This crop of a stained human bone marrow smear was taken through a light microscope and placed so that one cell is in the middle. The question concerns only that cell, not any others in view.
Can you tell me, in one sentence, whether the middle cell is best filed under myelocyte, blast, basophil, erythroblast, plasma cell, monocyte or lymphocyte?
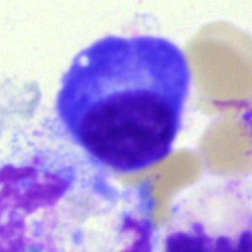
Looking at the middle of the crop, the cell there is a plasma cell.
